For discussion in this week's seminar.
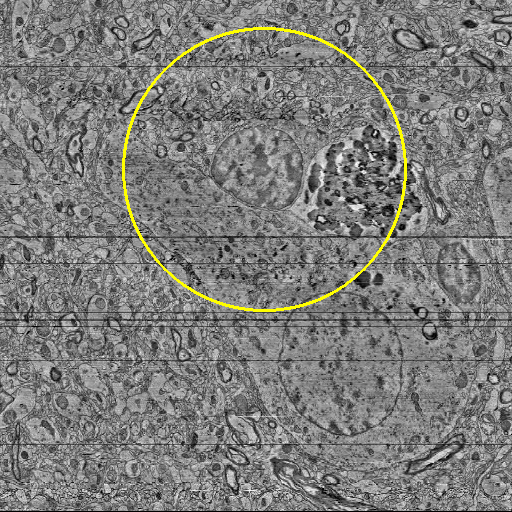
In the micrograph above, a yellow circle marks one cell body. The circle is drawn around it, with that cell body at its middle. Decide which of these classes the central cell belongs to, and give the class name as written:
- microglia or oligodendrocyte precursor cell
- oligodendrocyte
oligodendrocyte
